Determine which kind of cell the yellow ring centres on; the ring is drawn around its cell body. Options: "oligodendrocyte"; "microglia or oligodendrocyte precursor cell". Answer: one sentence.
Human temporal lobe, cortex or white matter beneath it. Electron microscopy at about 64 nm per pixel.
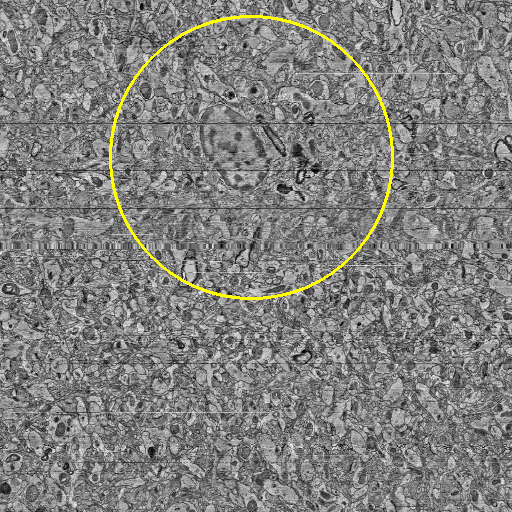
The ring centres on a microglial cell or oligodendrocyte precursor cell.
